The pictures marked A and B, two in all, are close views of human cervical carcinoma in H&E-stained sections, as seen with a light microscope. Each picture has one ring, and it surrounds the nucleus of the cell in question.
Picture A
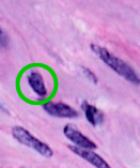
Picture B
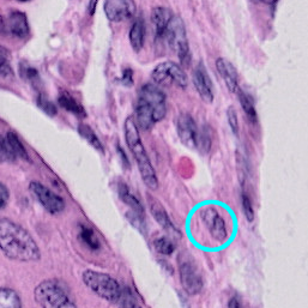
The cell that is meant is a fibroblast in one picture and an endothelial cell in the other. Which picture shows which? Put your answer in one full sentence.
It is picture A that shows a fibroblast, and picture B that shows an endothelial cell.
